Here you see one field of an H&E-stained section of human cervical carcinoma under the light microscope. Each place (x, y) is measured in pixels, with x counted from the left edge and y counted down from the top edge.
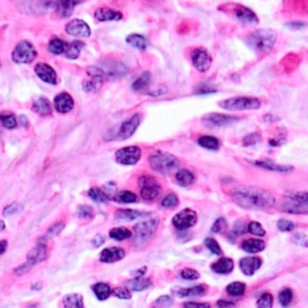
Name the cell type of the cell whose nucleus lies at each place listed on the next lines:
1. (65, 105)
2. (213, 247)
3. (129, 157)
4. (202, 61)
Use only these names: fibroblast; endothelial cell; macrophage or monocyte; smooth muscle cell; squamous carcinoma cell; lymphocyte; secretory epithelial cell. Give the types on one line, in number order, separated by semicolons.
lymphocyte; lymphocyte; lymphocyte; macrophage or monocyte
